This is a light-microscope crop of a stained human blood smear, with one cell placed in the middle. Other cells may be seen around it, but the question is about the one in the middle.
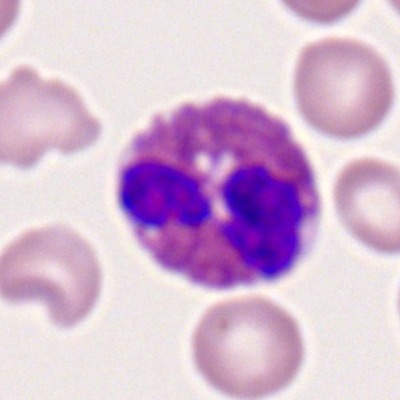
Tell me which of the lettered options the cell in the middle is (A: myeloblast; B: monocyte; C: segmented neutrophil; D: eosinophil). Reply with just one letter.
D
